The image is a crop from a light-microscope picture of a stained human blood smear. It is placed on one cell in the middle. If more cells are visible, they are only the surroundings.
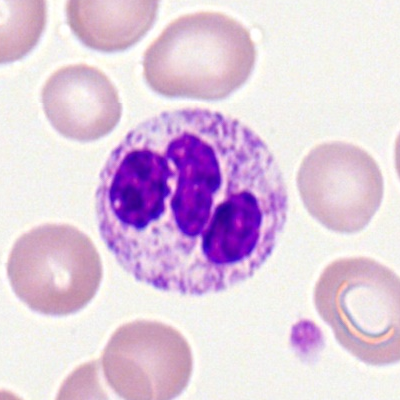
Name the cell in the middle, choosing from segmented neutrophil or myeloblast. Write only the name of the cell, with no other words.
segmented neutrophil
